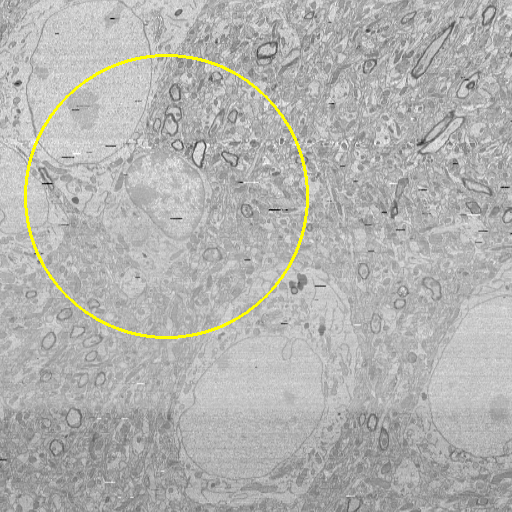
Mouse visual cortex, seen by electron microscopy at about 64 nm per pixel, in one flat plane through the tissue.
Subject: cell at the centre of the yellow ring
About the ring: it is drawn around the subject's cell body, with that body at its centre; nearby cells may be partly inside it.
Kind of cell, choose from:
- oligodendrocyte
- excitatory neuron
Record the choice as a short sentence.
The subject cell is an oligodendrocyte.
